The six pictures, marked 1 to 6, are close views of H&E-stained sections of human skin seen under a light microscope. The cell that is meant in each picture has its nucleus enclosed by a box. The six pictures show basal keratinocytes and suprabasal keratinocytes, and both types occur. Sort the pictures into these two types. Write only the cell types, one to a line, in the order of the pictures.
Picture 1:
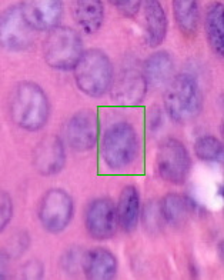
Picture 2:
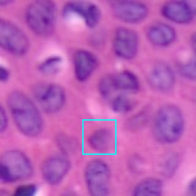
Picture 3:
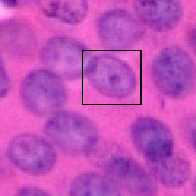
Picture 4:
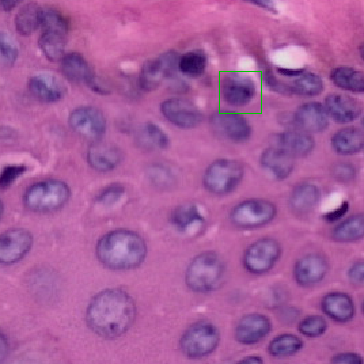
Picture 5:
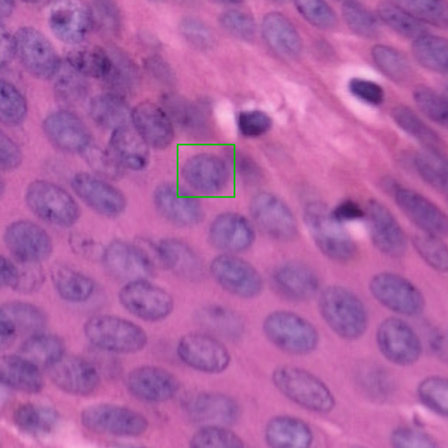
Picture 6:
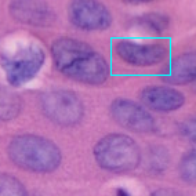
suprabasal keratinocyte
basal keratinocyte
suprabasal keratinocyte
basal keratinocyte
basal keratinocyte
basal keratinocyte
